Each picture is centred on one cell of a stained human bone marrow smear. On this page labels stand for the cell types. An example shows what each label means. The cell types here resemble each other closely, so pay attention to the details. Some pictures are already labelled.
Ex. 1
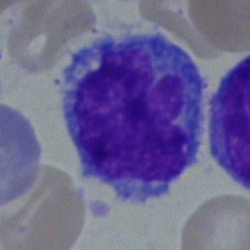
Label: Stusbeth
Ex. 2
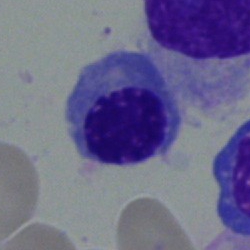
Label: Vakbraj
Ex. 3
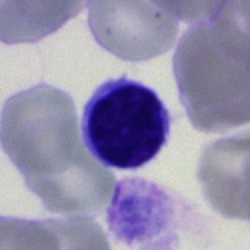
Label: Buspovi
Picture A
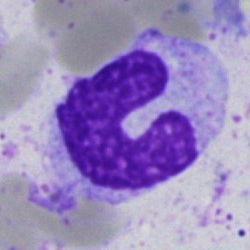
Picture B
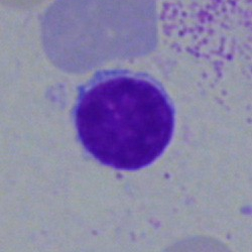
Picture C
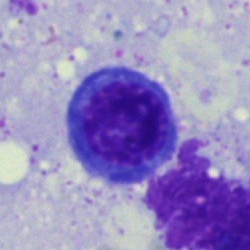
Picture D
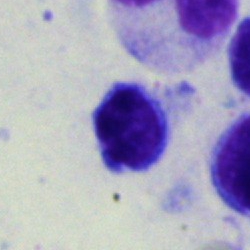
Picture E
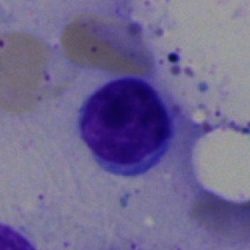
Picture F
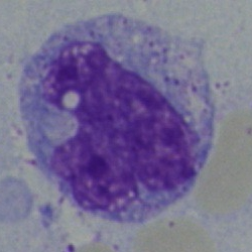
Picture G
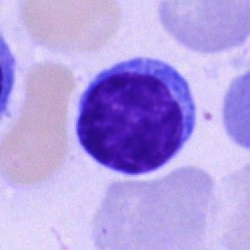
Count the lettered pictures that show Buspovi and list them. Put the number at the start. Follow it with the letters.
Count: 4 (B, D, E, G)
